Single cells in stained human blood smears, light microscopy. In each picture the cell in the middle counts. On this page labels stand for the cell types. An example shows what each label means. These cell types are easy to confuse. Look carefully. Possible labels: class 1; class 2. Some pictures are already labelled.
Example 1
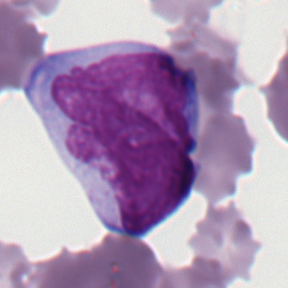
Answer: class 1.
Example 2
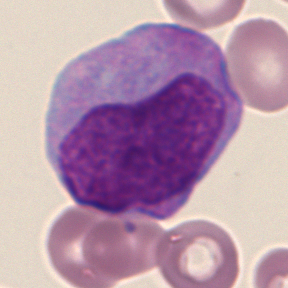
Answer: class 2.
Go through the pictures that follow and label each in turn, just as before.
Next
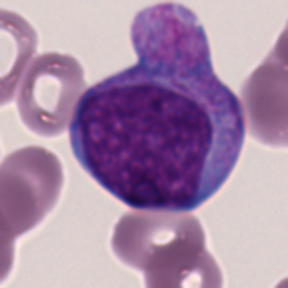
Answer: class 2.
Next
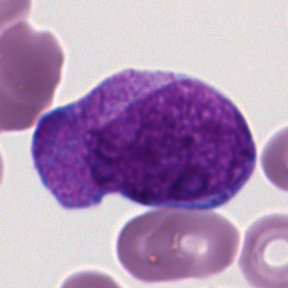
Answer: class 2.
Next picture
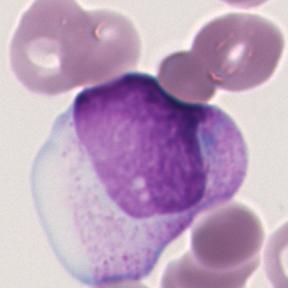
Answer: class 2.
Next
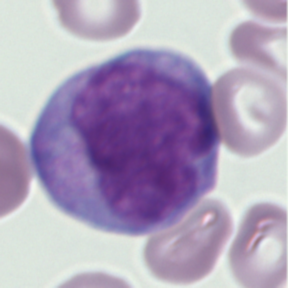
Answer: class 2.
